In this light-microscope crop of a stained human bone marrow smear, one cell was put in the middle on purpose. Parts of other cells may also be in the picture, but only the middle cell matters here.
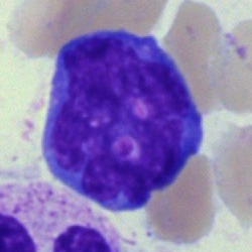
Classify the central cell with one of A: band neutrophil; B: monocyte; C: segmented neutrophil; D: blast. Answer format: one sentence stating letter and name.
The middle cell of the crop is a monocyte; accordingly, option B is correct.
